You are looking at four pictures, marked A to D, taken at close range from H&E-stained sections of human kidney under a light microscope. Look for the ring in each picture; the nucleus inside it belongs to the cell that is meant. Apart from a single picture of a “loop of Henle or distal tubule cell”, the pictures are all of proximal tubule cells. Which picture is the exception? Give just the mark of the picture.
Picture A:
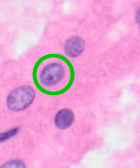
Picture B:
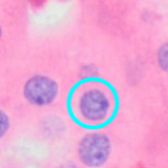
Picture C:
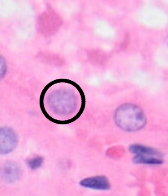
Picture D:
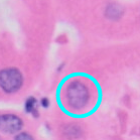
B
